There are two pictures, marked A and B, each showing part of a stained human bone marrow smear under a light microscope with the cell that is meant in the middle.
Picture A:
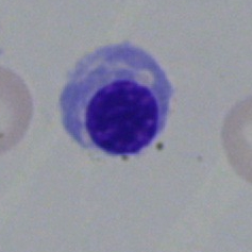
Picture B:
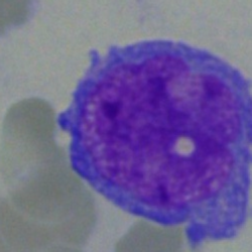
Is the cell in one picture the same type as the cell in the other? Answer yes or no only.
no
